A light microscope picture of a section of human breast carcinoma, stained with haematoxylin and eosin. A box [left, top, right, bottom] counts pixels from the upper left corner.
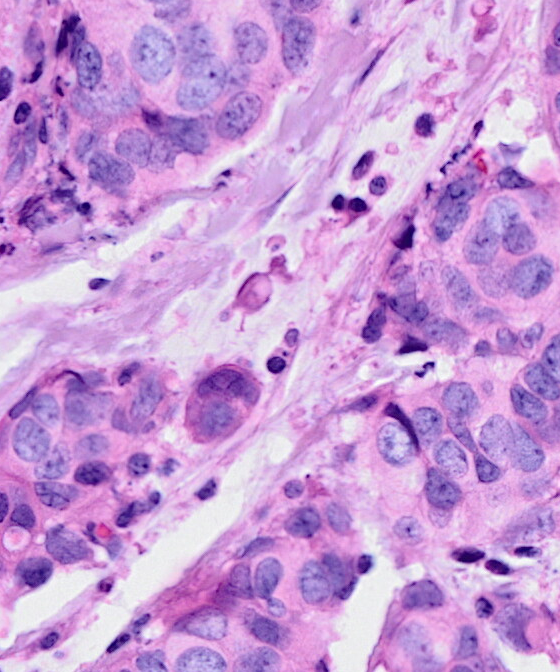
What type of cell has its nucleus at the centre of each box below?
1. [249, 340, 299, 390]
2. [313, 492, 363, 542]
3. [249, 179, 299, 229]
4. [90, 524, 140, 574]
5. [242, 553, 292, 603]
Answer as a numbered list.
1. lymphocyte
2. carcinoma cell
3. fibroblast
4. endothelial cell
5. carcinoma cell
